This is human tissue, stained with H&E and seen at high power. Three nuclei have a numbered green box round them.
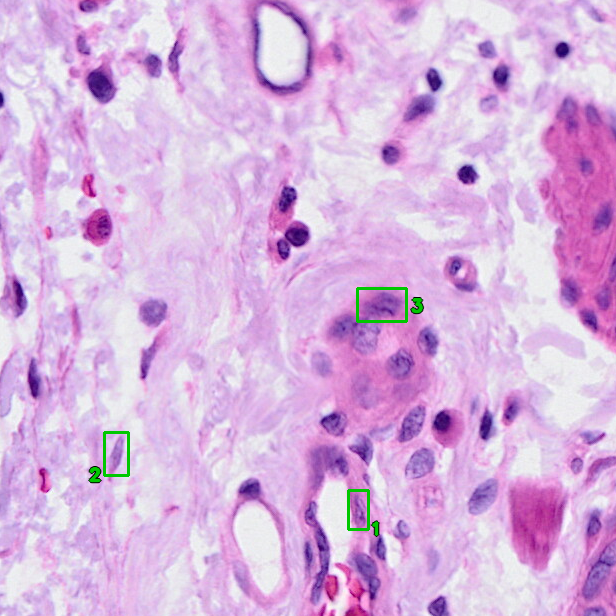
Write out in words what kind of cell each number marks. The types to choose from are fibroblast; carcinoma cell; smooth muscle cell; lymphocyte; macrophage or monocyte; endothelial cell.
Cell 1 is an endothelial cell, cell 2 is a fibroblast and cell 3 is an endothelial cell.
